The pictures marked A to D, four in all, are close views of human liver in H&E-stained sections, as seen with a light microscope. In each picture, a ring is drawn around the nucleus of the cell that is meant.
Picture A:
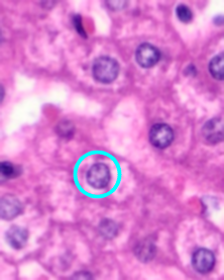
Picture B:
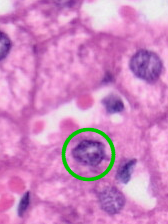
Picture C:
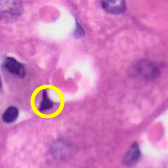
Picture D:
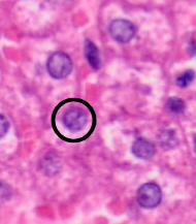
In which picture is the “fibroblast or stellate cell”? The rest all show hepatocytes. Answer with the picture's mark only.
C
